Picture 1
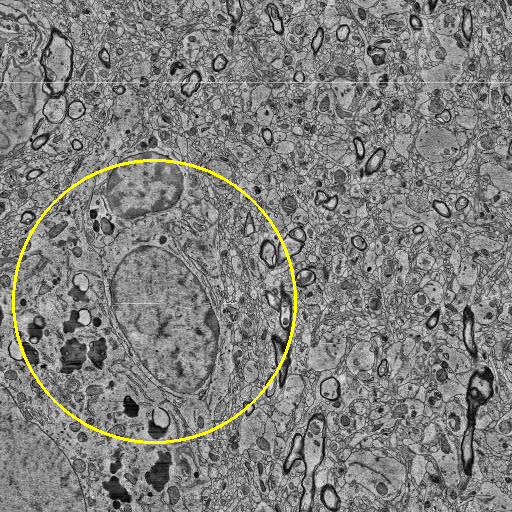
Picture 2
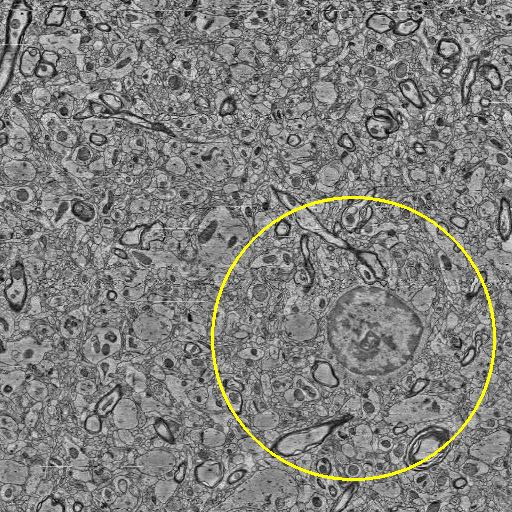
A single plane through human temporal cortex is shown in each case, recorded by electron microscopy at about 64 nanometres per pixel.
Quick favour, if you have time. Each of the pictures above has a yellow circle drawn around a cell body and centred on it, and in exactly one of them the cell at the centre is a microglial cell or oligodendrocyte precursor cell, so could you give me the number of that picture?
1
